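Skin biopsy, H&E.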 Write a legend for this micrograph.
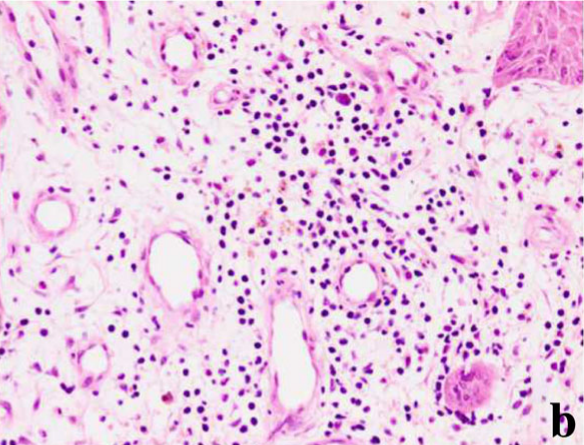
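Dermis with a dense infiltrate of atypical lymphocytes around blood vessels. The infiltrating cells are small, with round, dark purple nuclei and little cytoplasm. They crowd between several thin-walled, round vascular channels lined by flat cells. The stroma around them is pale and loose. A pink multinucleated structure lies at the lower right and a fragment of pink tissue at the upper right corner.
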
